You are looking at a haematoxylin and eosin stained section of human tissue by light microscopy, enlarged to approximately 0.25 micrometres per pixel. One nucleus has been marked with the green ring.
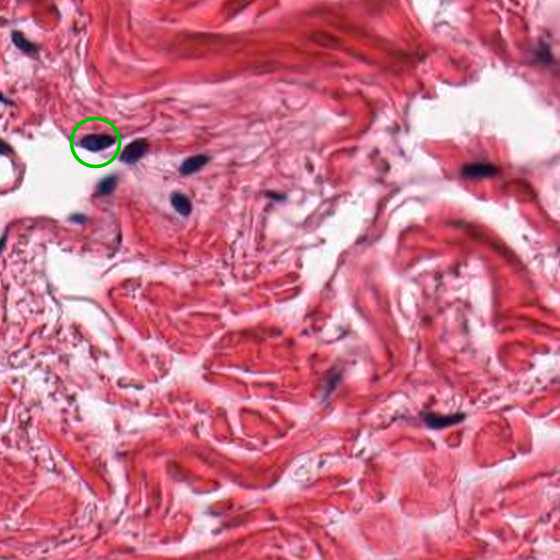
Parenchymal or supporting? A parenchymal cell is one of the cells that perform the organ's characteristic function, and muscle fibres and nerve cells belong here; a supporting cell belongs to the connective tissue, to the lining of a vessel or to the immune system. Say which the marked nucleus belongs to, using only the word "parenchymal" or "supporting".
supporting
